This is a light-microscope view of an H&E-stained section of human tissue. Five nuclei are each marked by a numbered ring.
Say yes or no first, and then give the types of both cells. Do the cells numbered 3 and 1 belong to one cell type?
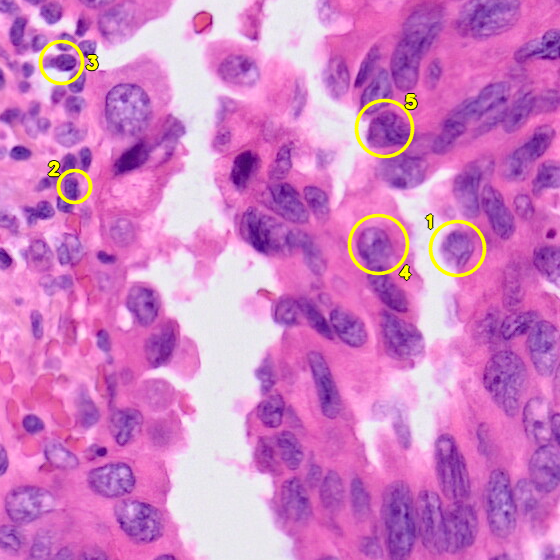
No, cell 3 is a lymphocyte and cell 1 is a carcinoma cell.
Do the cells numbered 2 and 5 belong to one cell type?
No, cell 2 is a lymphocyte and cell 5 is a carcinoma cell.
